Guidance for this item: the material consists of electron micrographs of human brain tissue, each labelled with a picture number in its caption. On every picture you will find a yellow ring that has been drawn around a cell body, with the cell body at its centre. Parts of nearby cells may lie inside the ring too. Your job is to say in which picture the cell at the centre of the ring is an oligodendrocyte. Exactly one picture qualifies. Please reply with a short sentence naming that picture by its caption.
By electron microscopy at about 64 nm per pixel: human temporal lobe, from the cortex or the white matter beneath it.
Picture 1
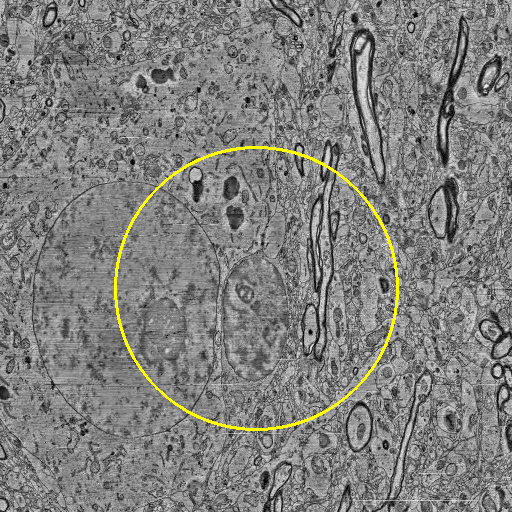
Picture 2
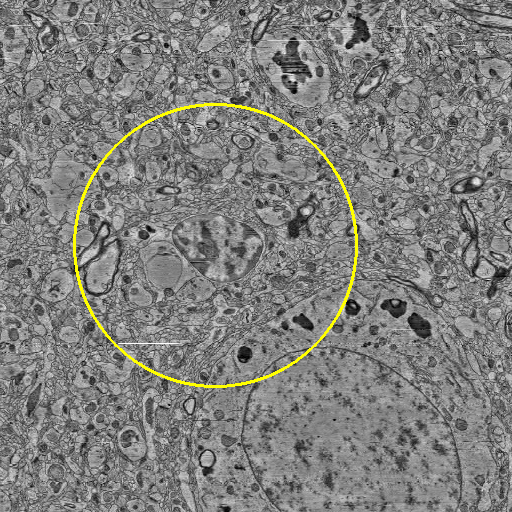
Picture 1 shows it at the centre of the ring.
